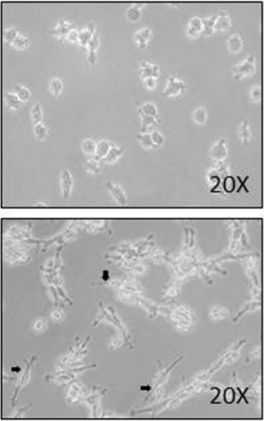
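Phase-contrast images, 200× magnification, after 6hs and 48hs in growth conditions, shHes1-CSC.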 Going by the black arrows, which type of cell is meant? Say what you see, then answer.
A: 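Neuron-like cells. Flattened cells with long thin processes in the lower image. Processes extend and connect between cells in a network.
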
